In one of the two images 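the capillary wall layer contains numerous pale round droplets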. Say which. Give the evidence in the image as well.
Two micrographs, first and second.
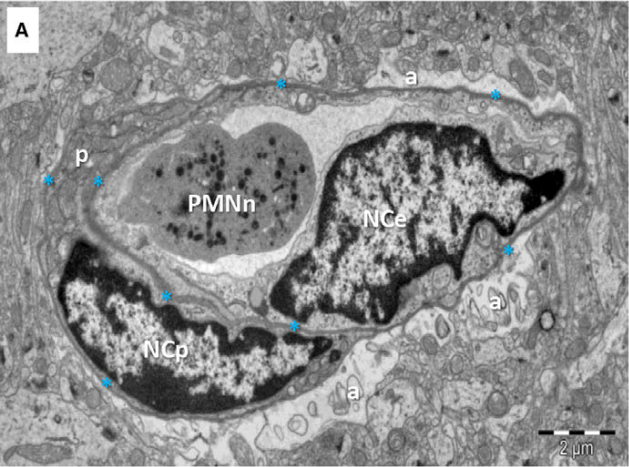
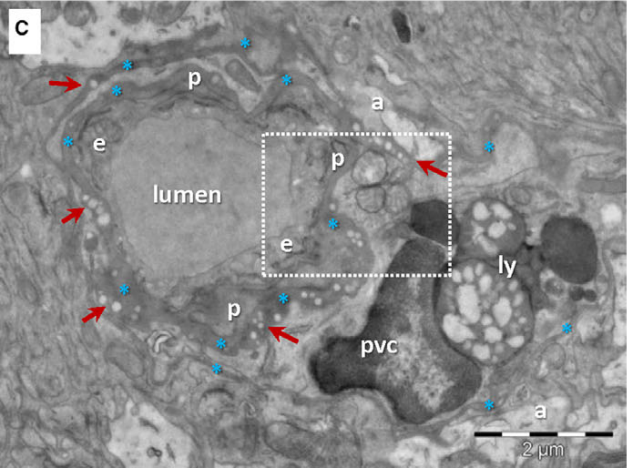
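First image: the layer around the capillary is thin and even with no such vesicles evident. So: the second image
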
